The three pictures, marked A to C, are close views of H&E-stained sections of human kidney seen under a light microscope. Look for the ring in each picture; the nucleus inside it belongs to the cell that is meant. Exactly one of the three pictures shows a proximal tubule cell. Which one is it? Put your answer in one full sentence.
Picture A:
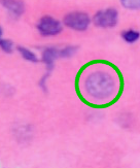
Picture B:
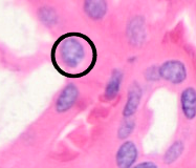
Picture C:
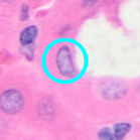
The picture with the proximal tubule cell is A.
